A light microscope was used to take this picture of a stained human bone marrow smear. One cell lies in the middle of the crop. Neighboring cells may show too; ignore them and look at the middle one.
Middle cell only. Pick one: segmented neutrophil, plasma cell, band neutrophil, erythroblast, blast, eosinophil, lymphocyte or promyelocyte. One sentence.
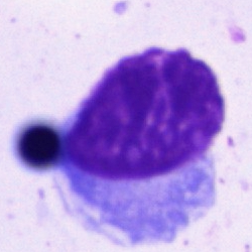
The identification for the central cell is a plasma cell.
